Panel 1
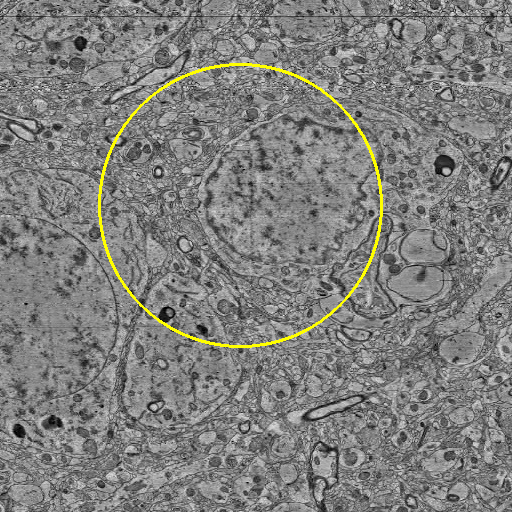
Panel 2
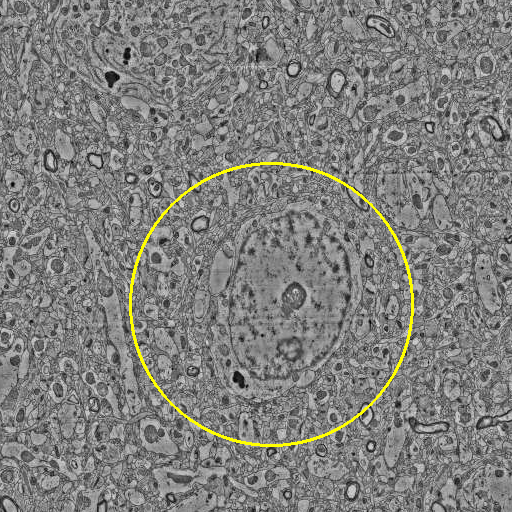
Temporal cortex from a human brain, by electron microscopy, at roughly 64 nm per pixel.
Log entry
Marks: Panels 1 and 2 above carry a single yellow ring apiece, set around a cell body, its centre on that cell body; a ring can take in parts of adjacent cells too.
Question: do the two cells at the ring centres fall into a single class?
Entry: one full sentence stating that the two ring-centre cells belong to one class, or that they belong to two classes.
The two ring-centre cells in Panels 1 and 2 belong to one class.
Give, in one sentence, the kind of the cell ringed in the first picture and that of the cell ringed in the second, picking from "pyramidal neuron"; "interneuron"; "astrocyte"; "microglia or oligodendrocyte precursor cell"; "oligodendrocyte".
Each of the two rings is centred on an interneuron.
